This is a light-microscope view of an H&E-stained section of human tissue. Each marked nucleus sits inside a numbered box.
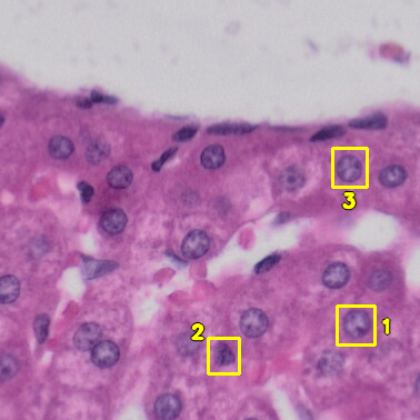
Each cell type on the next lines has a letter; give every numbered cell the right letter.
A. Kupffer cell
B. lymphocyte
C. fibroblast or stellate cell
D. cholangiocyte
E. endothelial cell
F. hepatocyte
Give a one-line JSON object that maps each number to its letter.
{"1": "F", "2": "C", "3": "F"}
